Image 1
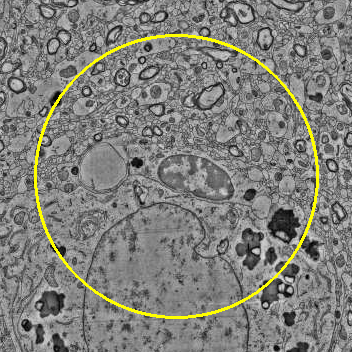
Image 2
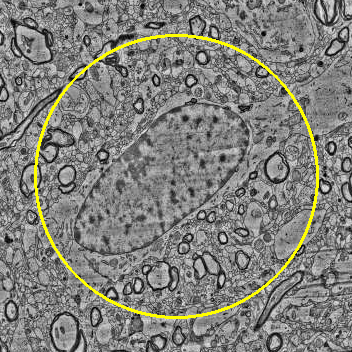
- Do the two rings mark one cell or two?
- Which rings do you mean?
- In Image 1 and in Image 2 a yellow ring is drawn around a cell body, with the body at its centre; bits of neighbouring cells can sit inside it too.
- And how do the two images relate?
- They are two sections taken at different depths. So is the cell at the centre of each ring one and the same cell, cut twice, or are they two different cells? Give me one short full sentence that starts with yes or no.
No, two different cells appear inside the two yellow rings.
